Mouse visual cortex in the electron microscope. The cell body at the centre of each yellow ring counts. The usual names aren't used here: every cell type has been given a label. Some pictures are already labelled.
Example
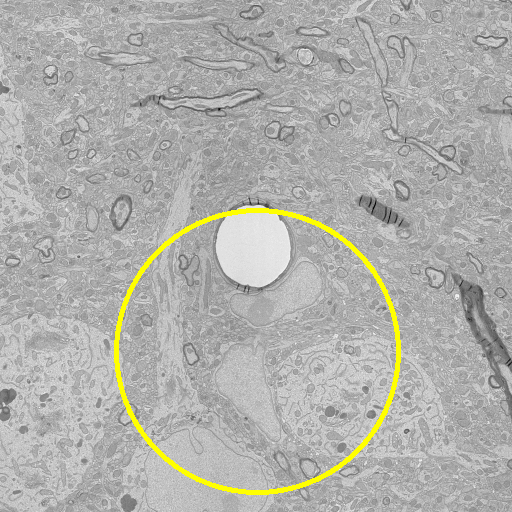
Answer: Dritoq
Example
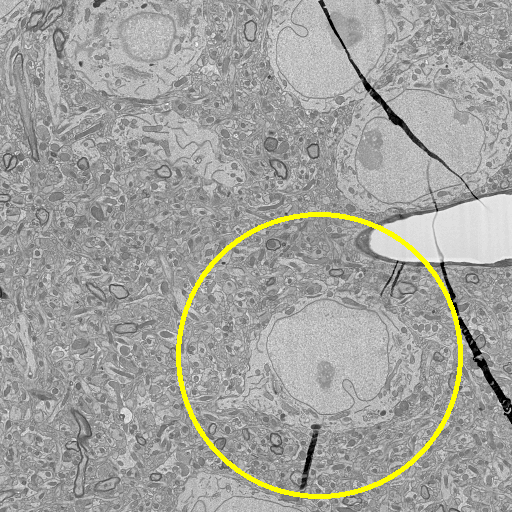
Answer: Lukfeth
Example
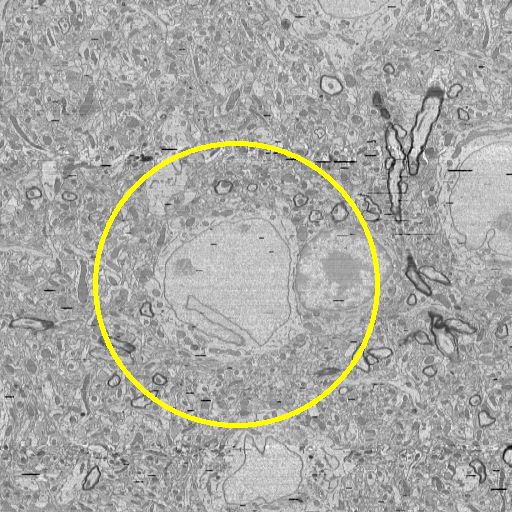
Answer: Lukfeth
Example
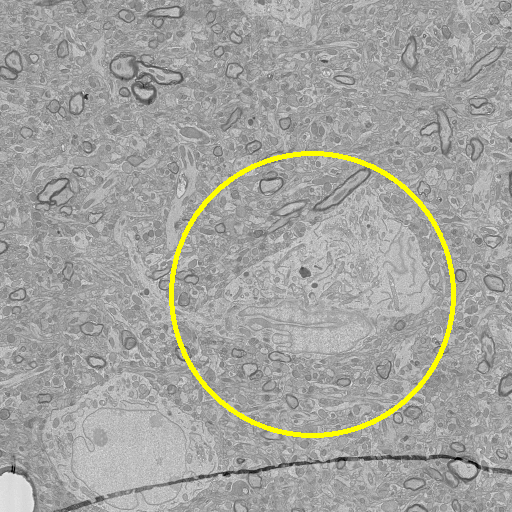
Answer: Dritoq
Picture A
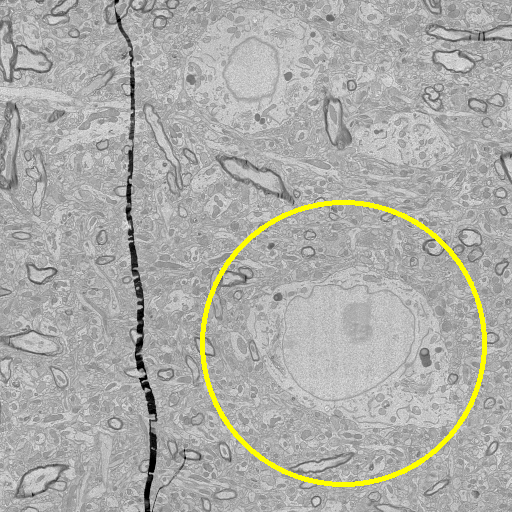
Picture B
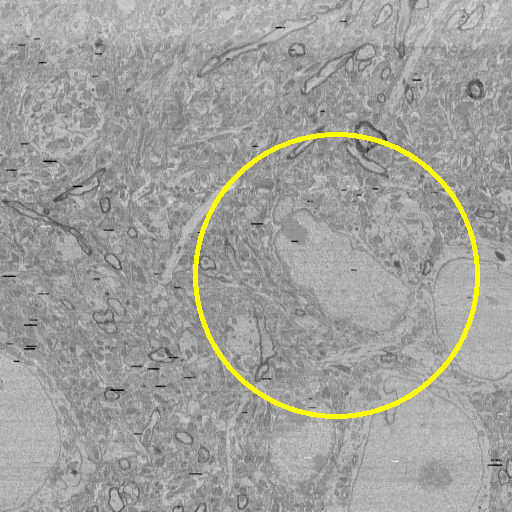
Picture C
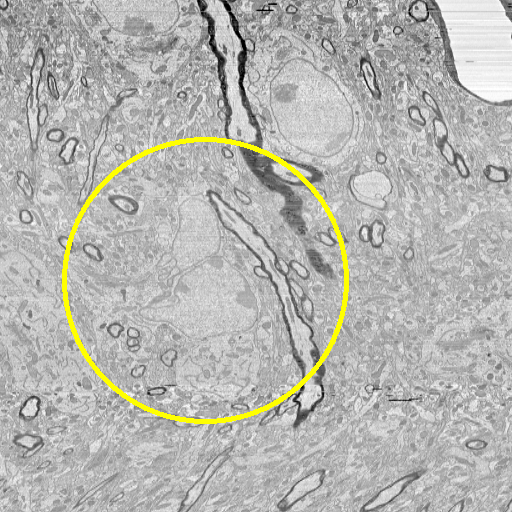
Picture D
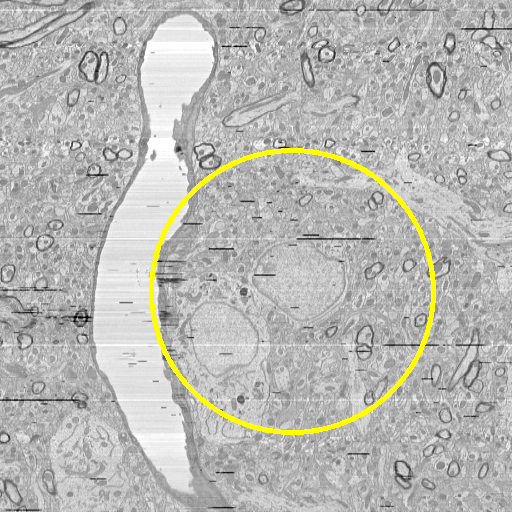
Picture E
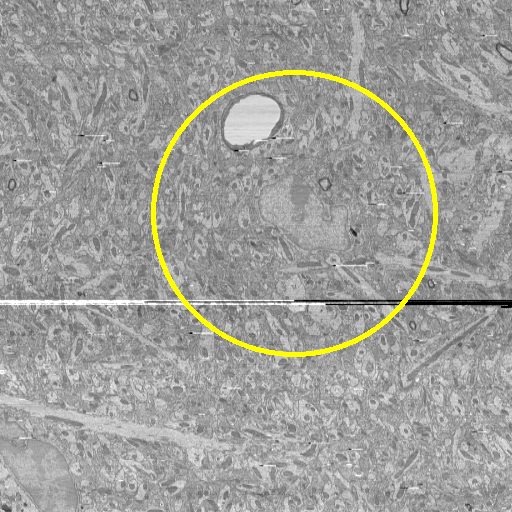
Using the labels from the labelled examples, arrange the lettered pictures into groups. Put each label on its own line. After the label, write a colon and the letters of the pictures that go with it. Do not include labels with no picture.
Dritoq: B, C, D, E
Lukfeth: A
